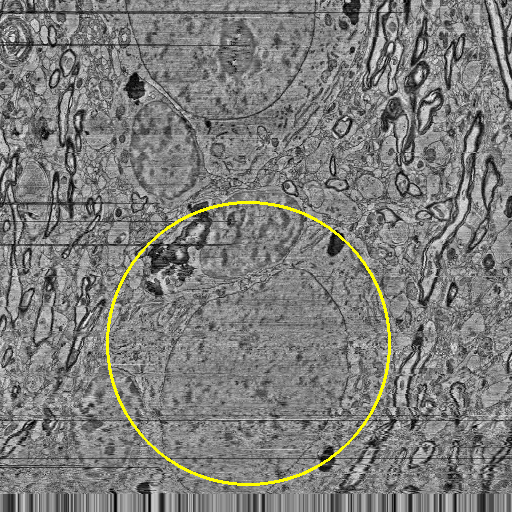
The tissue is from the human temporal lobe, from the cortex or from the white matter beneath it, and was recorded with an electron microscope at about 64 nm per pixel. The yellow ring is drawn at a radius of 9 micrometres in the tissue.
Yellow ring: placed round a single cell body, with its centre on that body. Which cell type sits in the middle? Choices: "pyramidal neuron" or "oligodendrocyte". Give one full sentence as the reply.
It is a pyramidal neuron whose cell body sits at the centre of the yellow ring.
